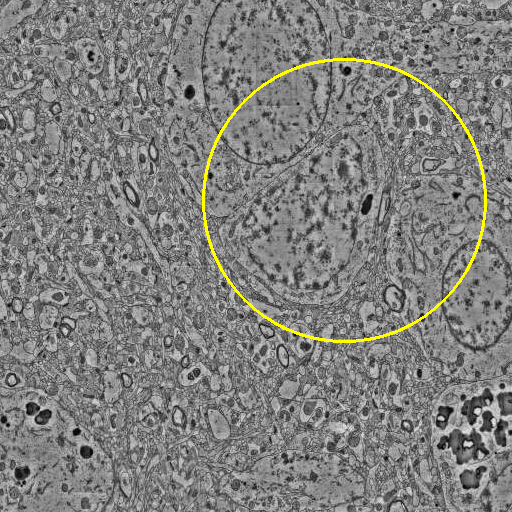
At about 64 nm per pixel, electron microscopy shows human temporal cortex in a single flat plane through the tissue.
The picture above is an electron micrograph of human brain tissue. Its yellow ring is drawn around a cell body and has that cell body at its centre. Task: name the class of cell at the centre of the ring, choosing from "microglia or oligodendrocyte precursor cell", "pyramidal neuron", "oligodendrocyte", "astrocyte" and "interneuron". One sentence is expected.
The ring surrounds the body of an interneuron.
